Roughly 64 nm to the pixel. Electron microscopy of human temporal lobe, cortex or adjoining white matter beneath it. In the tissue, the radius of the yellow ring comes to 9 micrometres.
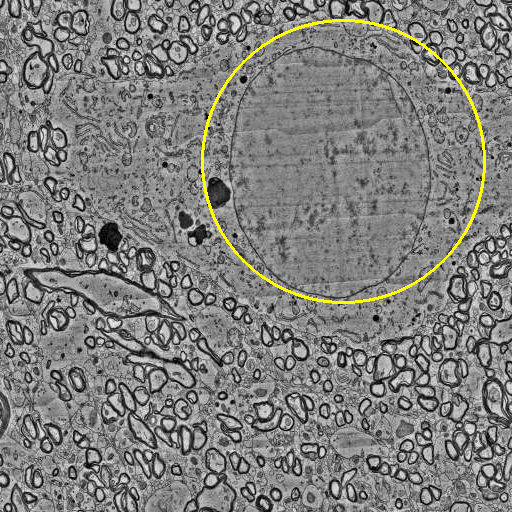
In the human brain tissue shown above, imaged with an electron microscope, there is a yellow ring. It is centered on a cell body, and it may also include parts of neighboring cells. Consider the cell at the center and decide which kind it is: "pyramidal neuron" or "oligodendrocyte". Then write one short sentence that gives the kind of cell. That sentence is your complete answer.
This centered cell body is that of a pyramidal neuron.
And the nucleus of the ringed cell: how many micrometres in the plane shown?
The nucleus measures about 16 by 13 micrometres in this plane.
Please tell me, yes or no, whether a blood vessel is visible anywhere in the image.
No, there is no blood vessel.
